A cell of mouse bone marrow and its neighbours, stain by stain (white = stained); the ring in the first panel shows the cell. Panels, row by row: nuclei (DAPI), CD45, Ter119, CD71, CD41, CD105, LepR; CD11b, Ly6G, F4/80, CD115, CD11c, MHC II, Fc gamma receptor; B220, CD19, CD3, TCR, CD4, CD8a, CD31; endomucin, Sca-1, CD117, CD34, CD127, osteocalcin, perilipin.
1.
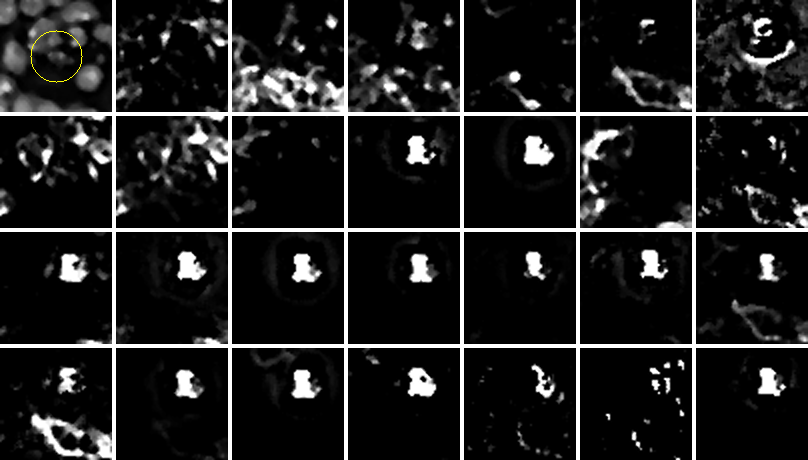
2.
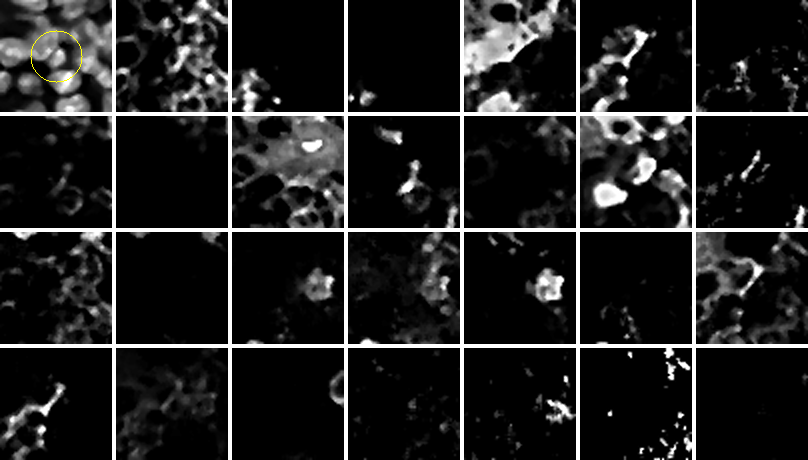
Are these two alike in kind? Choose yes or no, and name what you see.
No. First a LepR-positive perivascular cell, second a capillary endothelial cell.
